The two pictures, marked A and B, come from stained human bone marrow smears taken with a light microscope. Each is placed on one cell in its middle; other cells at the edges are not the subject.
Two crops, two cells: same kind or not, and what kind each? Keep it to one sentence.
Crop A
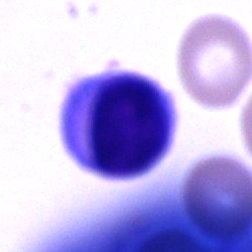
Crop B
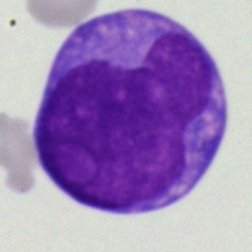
No, a lymphocyte and a blast are found in crop A and crop B, respectively.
